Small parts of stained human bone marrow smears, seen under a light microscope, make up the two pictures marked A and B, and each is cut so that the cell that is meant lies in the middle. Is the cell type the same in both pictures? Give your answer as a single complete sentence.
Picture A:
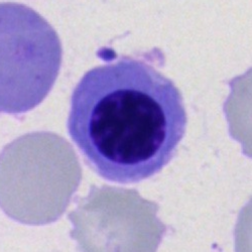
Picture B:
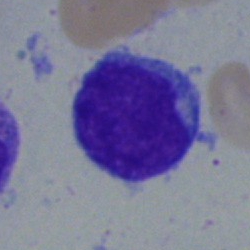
No, they differ: the cell is an erythroblast in picture A and a blast in picture B.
